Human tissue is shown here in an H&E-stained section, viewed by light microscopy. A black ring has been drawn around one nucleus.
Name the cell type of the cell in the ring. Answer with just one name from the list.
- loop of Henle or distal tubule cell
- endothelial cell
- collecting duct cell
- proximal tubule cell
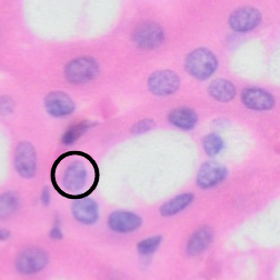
collecting duct cell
